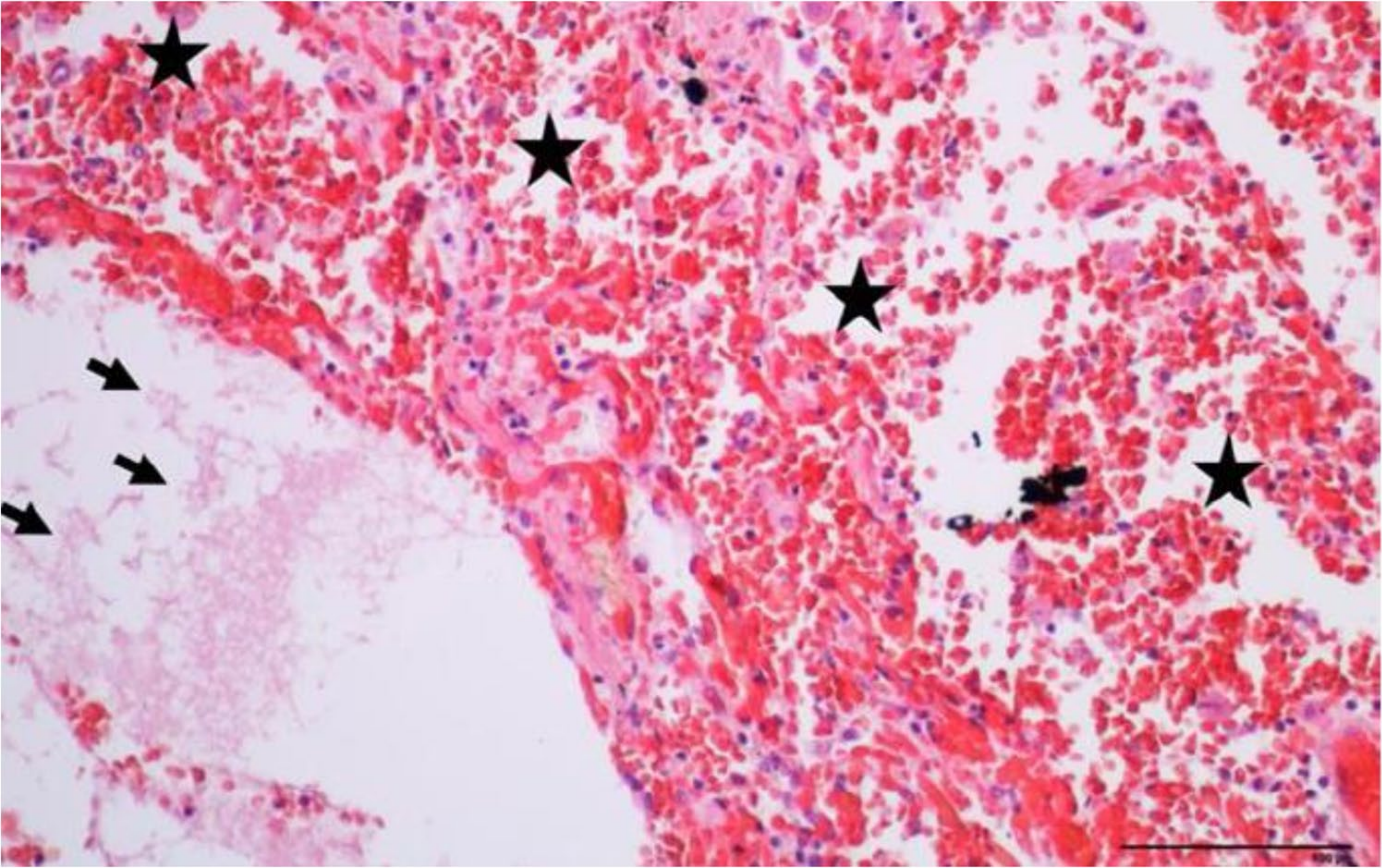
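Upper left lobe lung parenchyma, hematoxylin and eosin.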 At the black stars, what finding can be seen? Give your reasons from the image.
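Air spaces next to the stars are packed with many loose, anucleate bright red cells. The red cells lie inside spaces bounded by thin pink septa with scattered purple nuclei. So: intra-alveolar hemorrhage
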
